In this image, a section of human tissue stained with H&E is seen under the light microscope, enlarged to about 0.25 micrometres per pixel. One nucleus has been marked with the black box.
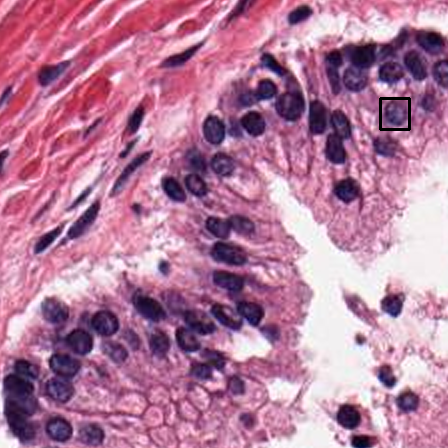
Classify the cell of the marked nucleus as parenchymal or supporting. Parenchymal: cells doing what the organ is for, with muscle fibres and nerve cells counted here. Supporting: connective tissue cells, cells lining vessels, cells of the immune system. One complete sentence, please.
The marked nucleus is contained in a parenchymal cell, namely a prostate gland luminal cell.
